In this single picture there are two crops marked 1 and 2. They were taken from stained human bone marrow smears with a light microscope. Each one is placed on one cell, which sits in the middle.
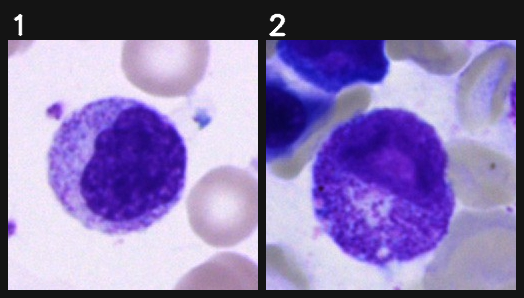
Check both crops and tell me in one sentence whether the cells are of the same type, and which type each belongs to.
No, the cell in crop 1 is a myelocyte and the one in crop 2 is a promyelocyte.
